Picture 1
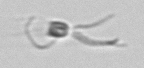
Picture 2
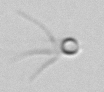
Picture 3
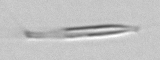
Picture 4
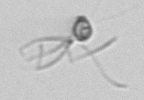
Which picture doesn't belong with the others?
Picture 3.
